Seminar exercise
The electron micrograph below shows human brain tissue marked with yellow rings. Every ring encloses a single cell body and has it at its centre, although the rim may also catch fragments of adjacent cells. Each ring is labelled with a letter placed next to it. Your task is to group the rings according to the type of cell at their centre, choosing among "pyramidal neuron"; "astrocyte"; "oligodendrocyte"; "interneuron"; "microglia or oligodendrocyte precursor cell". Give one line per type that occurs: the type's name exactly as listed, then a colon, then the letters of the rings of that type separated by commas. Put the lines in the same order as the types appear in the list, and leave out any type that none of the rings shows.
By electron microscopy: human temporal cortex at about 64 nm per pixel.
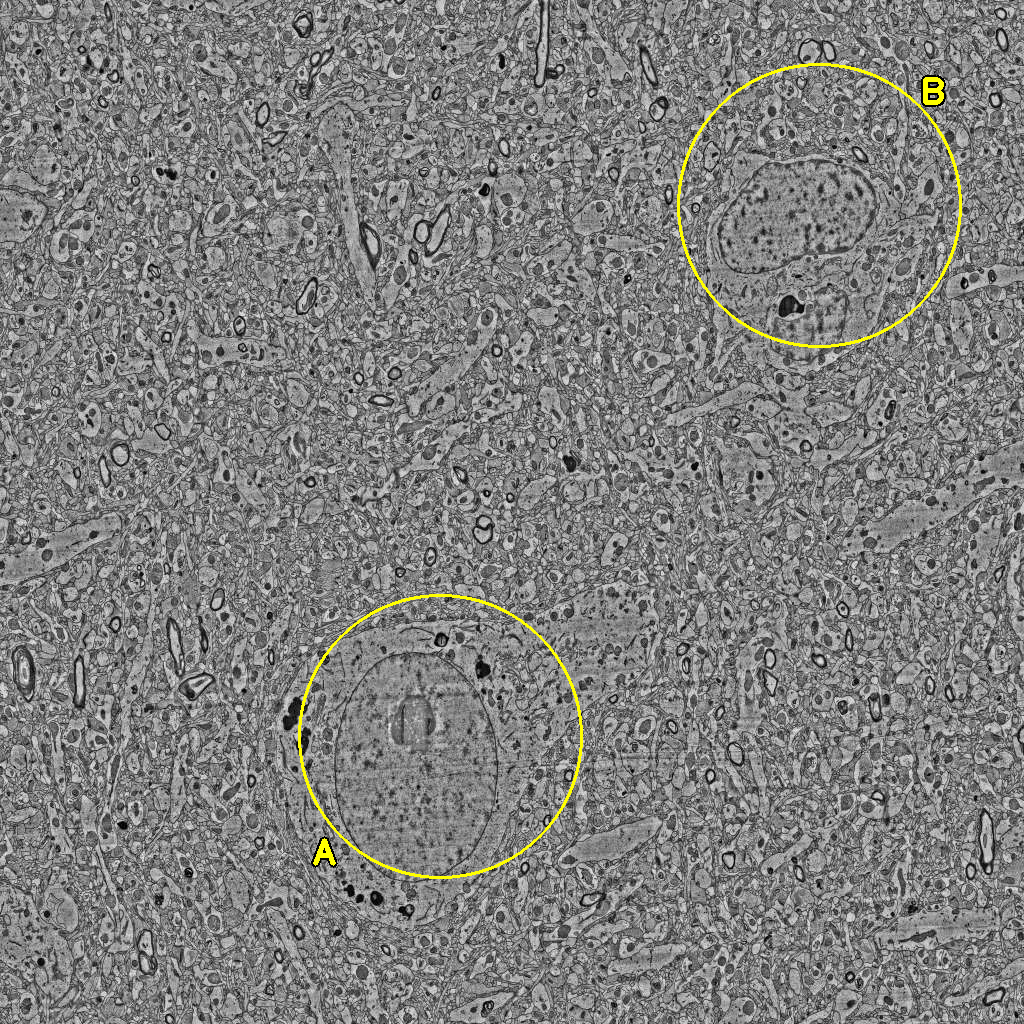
pyramidal neuron: A
microglia or oligodendrocyte precursor cell: B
